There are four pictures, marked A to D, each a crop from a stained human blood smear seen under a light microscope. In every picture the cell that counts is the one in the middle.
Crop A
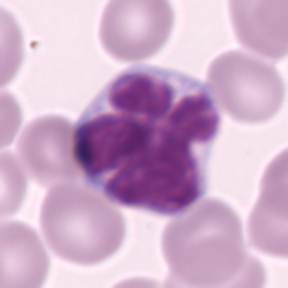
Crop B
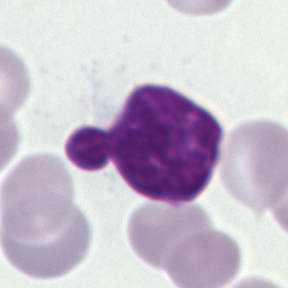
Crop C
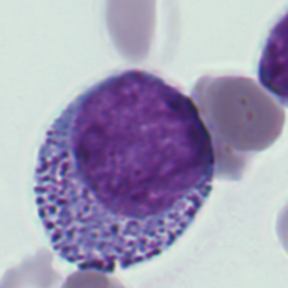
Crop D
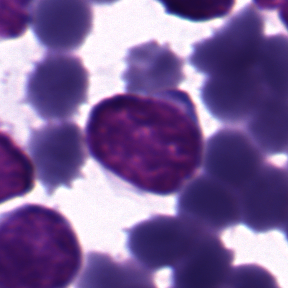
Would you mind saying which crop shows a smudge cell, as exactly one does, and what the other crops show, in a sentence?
Crop B contains a smudge cell; meanwhile, crop A is a large granular lymphocyte, crop C is a promyelocyte and crop D is a myeloblast.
